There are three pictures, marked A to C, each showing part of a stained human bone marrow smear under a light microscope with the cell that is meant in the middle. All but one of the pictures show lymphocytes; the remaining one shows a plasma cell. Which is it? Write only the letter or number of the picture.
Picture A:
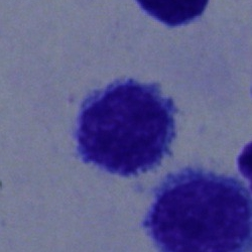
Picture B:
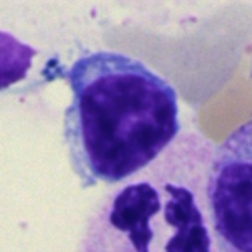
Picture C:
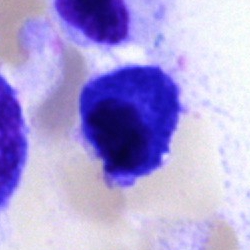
C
